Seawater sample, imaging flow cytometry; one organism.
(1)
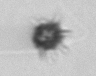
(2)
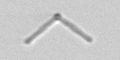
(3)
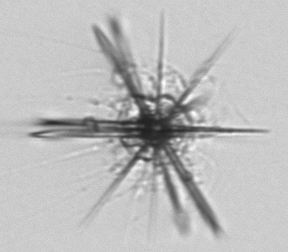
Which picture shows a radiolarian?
Picture 3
